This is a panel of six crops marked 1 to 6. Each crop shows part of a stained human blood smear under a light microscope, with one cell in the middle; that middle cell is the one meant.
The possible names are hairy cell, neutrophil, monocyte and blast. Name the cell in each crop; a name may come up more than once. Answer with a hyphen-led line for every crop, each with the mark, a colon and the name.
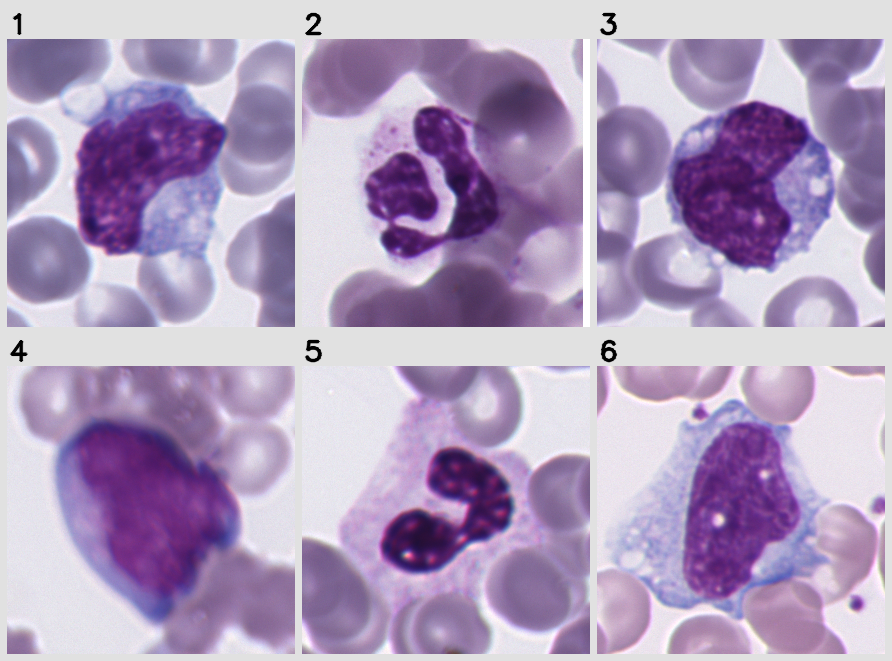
- 1: monocyte
- 2: neutrophil
- 3: monocyte
- 4: blast
- 5: neutrophil
- 6: monocyte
